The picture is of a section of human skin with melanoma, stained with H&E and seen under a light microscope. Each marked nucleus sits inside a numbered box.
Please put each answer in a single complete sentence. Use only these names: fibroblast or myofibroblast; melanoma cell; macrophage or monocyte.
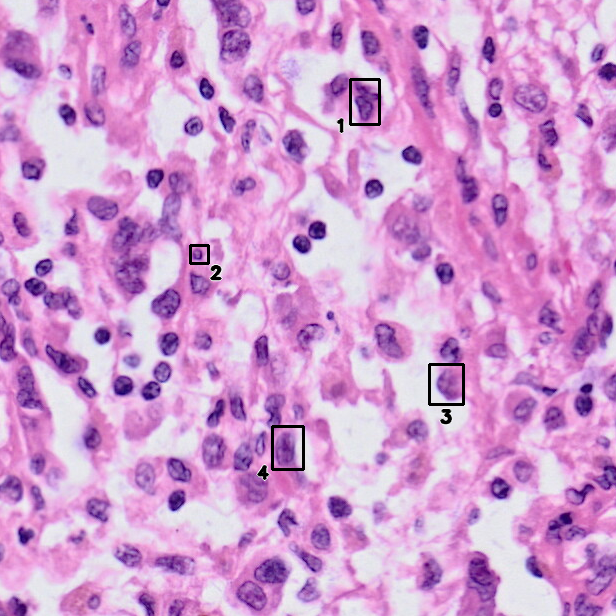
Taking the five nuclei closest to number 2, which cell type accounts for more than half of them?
Macrophages or monocytes make up most of the five nuclei closest to number 2.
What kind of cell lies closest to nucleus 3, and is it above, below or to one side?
The nearest nucleus is that of a macrophage or monocyte and lies above nucleus 3.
